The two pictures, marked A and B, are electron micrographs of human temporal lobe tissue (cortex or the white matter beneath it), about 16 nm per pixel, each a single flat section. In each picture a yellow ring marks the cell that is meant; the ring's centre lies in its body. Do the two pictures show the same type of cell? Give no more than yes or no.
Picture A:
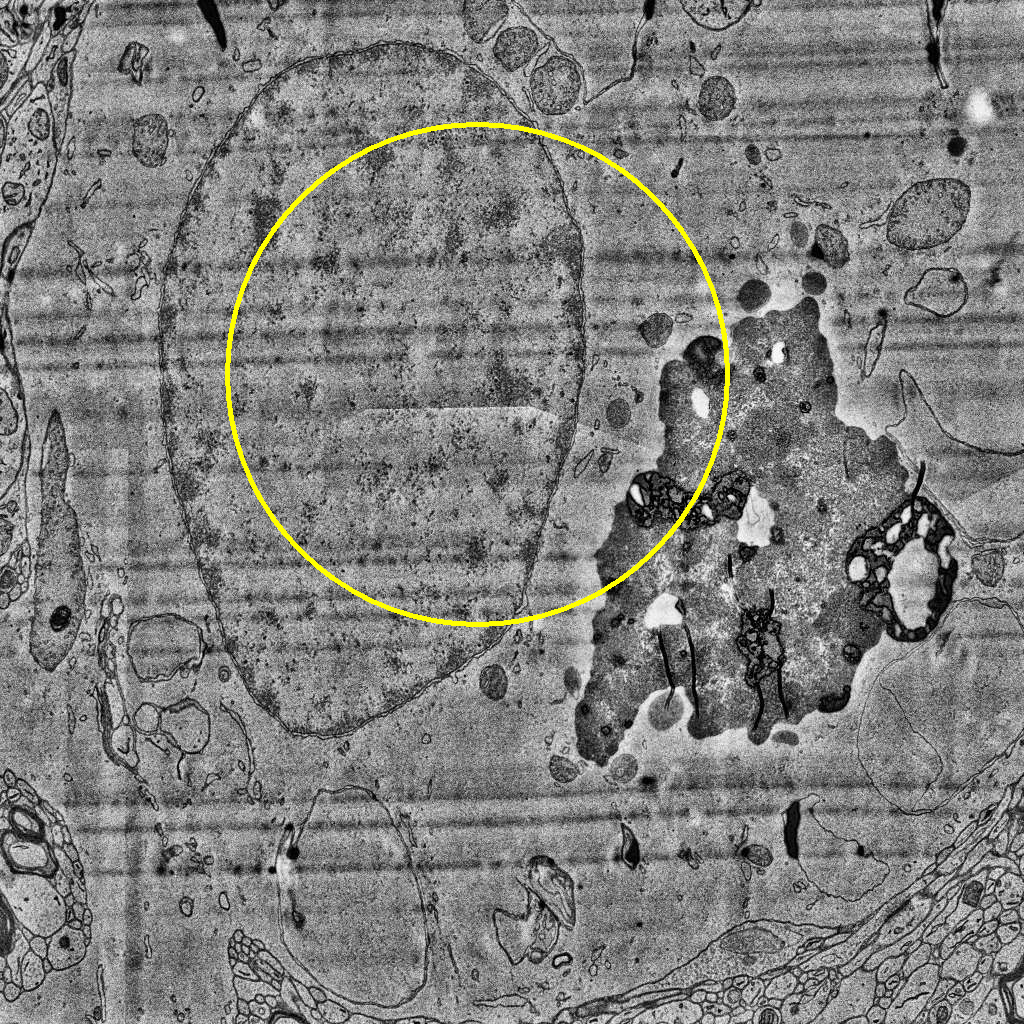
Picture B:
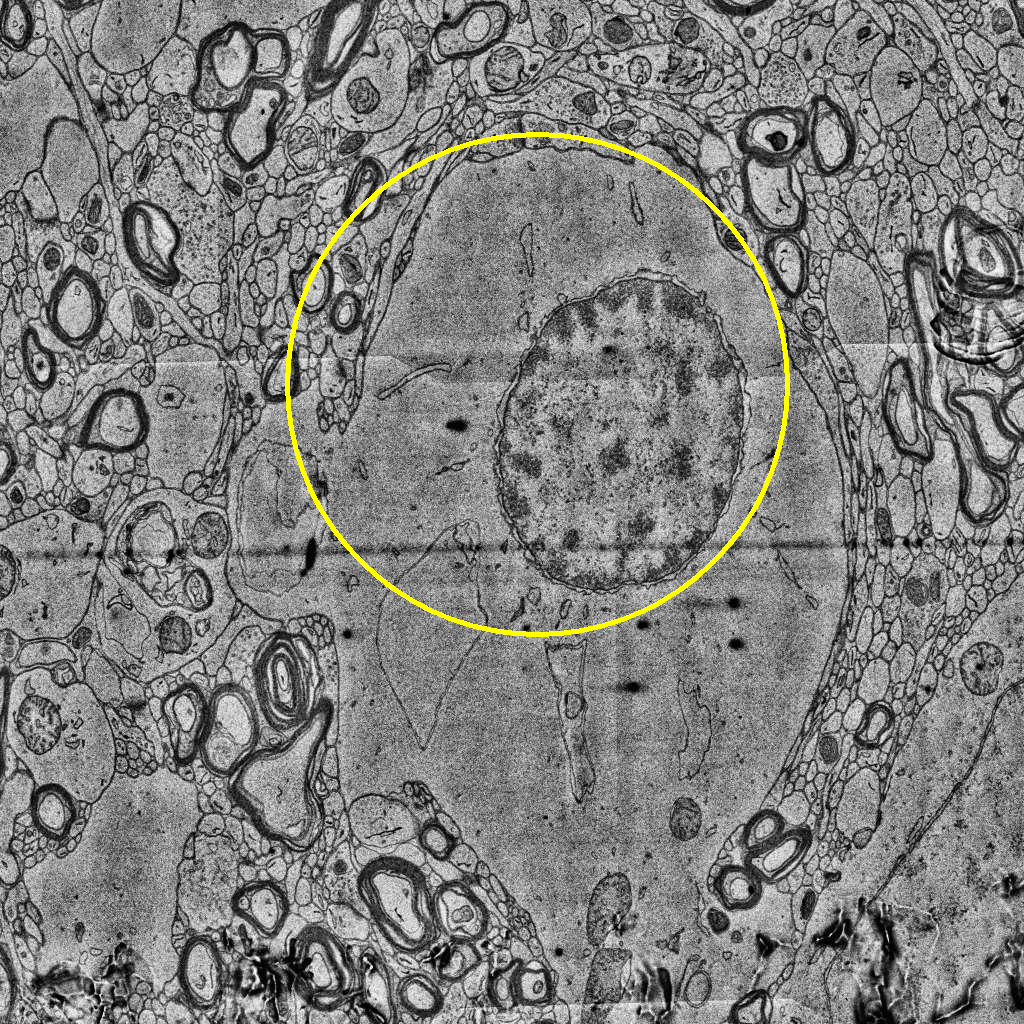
yes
